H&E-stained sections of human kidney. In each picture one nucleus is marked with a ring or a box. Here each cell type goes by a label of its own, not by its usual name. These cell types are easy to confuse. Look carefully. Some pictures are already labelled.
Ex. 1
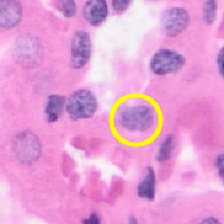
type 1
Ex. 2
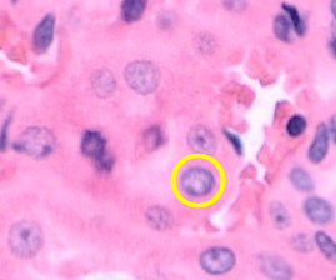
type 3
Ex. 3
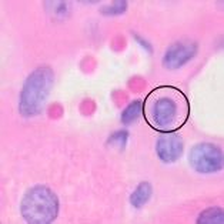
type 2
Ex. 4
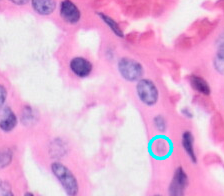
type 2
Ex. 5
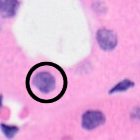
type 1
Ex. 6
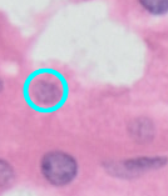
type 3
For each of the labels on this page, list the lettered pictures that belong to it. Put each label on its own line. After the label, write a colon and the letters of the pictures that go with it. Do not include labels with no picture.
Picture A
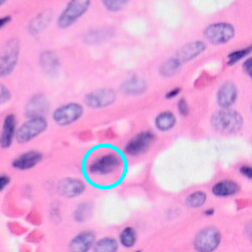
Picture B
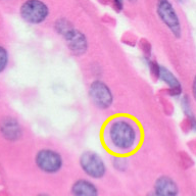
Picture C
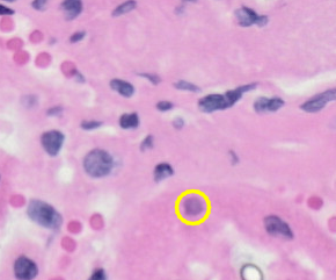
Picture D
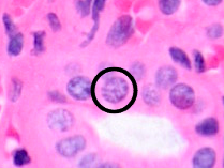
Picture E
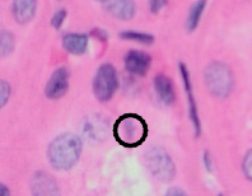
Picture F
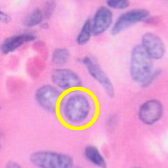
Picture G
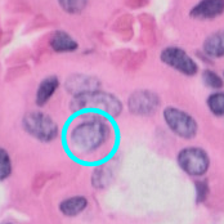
type 1: B
type 3: C
type 2: A, D, E, F, G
